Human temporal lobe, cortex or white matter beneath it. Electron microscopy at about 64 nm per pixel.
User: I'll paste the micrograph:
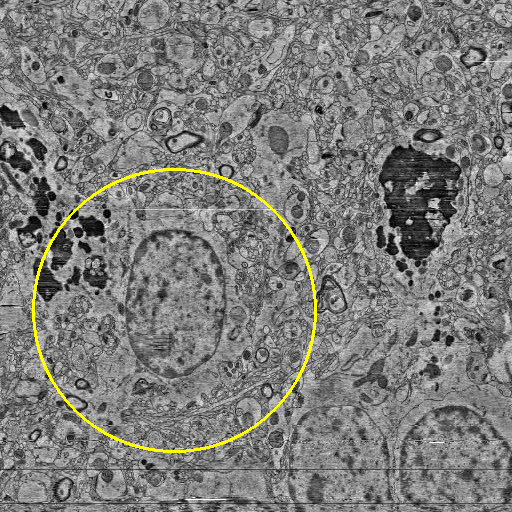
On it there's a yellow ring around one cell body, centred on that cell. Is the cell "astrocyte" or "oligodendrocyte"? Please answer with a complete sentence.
The cell ringed in yellow is an astrocyte.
